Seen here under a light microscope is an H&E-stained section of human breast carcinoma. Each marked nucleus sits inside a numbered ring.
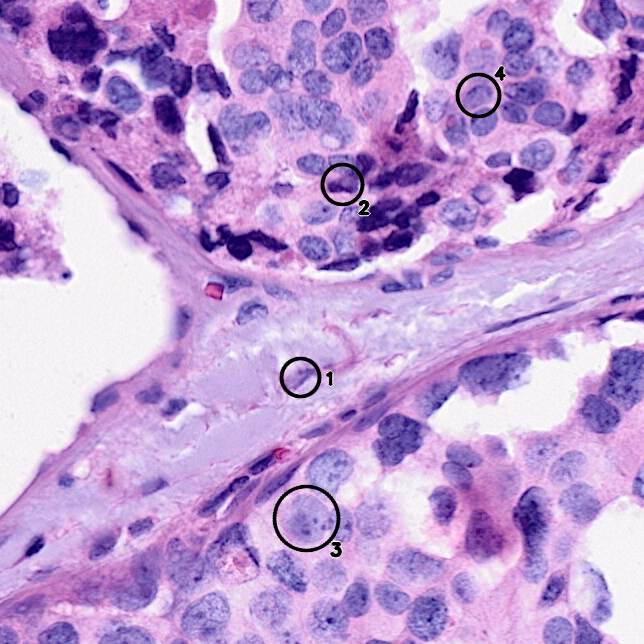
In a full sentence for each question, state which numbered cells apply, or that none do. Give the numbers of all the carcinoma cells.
The identity of cells 2, 3 and 4: they are carcinoma cells.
